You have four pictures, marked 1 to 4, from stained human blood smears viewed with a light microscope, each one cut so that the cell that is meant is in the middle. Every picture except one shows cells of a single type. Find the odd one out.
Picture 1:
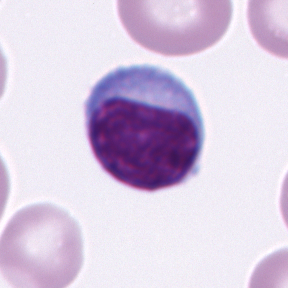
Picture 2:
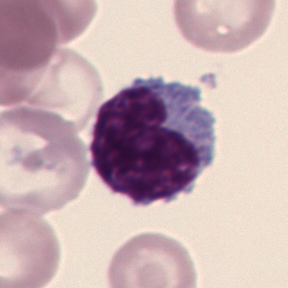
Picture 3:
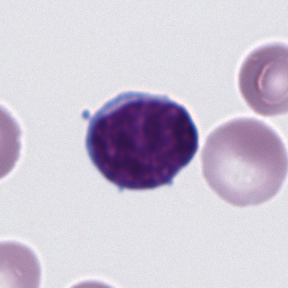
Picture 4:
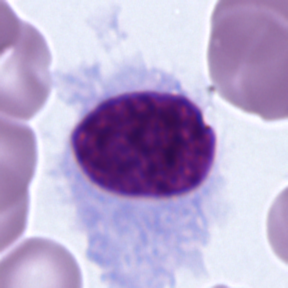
4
